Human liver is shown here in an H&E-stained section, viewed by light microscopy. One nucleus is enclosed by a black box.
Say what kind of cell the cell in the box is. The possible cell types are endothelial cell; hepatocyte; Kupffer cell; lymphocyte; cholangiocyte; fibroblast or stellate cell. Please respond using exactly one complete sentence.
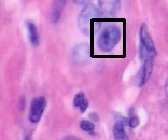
What the cell in the box represents is a cholangiocyte.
